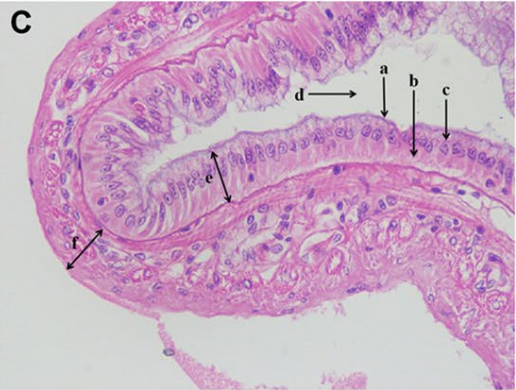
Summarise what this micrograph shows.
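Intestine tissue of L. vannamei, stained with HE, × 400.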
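A fringed brush border lines the apical surface facing the pale lumen. Round purple nuclei sit in a fairly regular row partway up the cells, and the cytoplasm is pink. Outside the epithelium, pink layers of the wall contain scattered cells with small nuclei. The lumen holds little or no content.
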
